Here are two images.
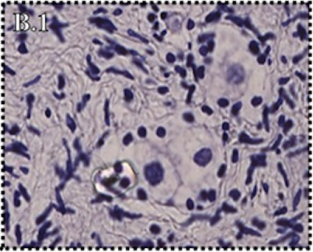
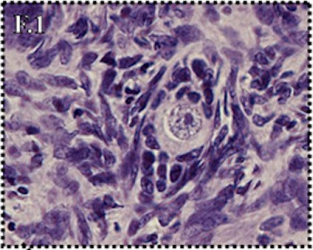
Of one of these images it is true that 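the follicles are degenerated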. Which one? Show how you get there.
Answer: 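Second image: the oocyte is tightly ringed by granulosa cells within dense stroma. First image: pale oocytes lie loosely in the stroma with few surrounding granulosa cells.
The first image.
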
